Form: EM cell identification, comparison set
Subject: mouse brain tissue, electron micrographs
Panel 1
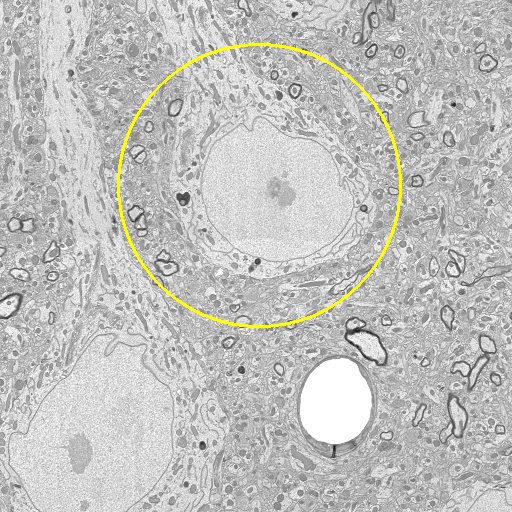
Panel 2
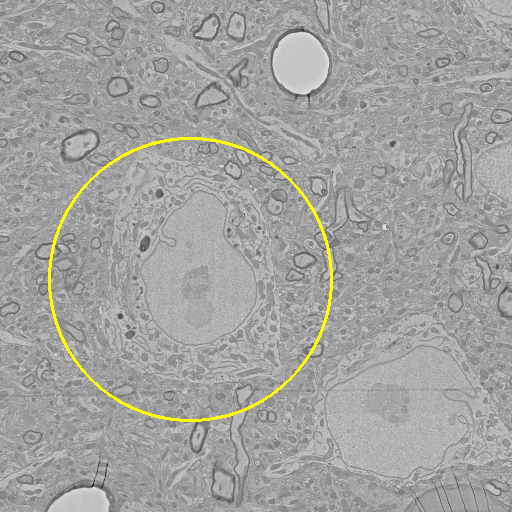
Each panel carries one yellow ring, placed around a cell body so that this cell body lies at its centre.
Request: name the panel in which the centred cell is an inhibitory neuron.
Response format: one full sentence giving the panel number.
Panel 2 has it at the centre of its ring.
